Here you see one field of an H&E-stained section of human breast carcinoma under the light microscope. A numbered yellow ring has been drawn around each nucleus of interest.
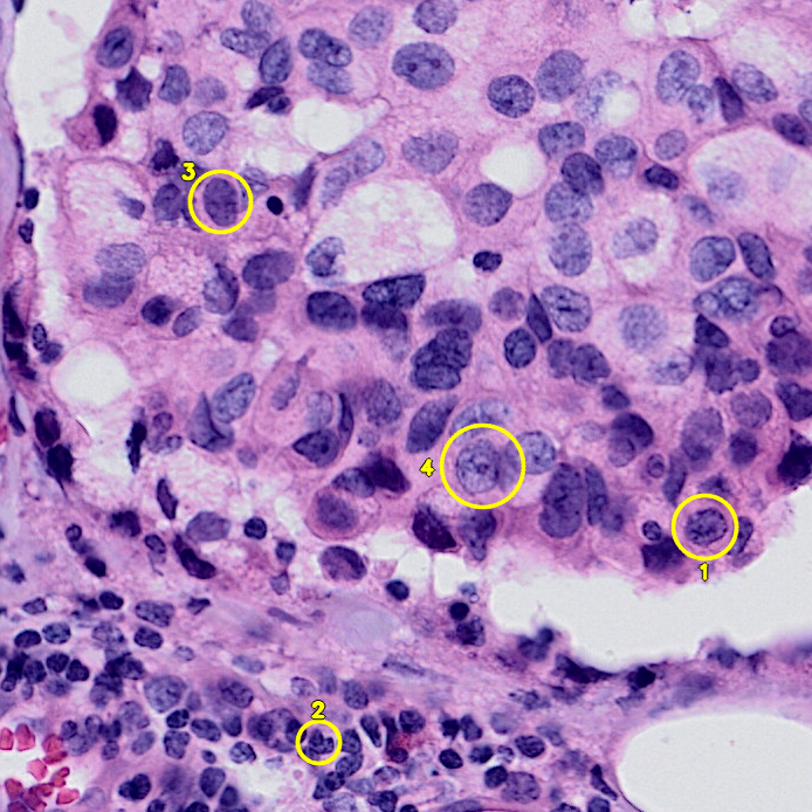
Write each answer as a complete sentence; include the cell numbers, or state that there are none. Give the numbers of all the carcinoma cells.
Within the section, cells numbered 1, 3 and 4 are carcinoma cells.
